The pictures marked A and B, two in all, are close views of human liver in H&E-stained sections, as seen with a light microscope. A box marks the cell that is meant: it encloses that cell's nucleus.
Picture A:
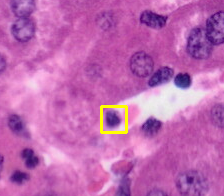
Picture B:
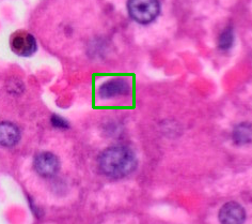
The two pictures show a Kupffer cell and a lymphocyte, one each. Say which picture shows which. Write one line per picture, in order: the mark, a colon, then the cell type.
A: lymphocyte
B: Kupffer cell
